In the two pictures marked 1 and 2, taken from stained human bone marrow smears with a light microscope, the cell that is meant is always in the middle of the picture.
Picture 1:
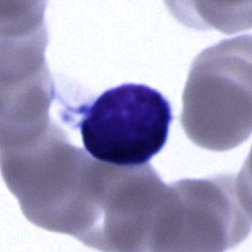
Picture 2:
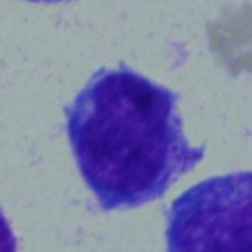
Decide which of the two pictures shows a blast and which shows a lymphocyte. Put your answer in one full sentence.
Picture 1 is of a lymphocyte, and picture 2 is of a blast.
